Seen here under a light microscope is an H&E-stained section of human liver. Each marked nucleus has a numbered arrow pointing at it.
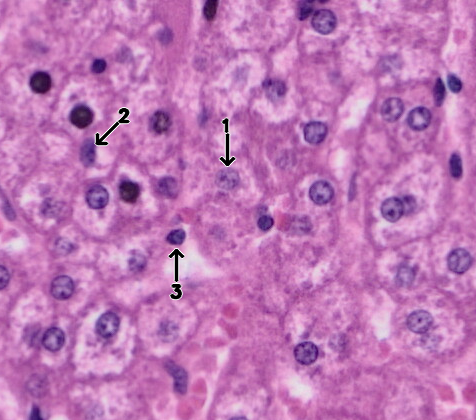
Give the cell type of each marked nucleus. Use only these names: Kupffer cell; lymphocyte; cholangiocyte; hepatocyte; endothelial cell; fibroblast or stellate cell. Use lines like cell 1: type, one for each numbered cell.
cell 1: hepatocyte
cell 2: endothelial cell
cell 3: lymphocyte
